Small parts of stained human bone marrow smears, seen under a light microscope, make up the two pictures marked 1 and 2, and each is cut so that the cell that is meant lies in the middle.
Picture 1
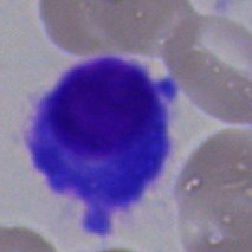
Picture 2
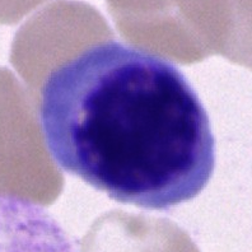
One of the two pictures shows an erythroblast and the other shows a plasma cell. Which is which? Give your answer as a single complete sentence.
In picture 1 the cell is a plasma cell; in picture 2, an erythroblast.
